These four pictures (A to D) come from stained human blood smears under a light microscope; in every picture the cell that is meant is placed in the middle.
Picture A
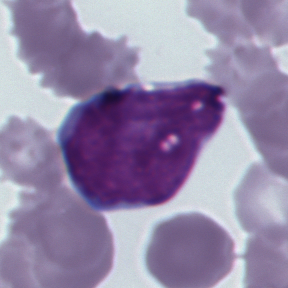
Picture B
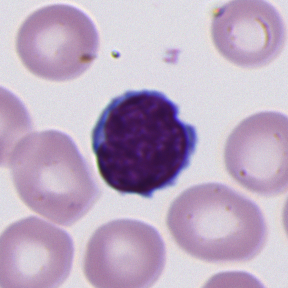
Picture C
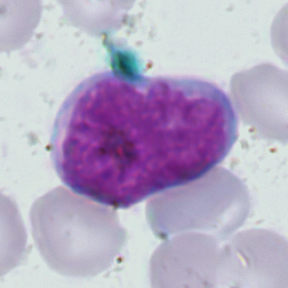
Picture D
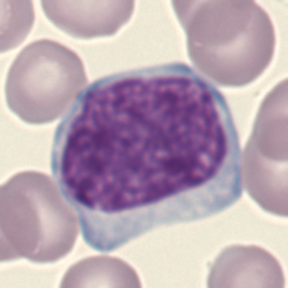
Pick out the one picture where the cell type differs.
B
